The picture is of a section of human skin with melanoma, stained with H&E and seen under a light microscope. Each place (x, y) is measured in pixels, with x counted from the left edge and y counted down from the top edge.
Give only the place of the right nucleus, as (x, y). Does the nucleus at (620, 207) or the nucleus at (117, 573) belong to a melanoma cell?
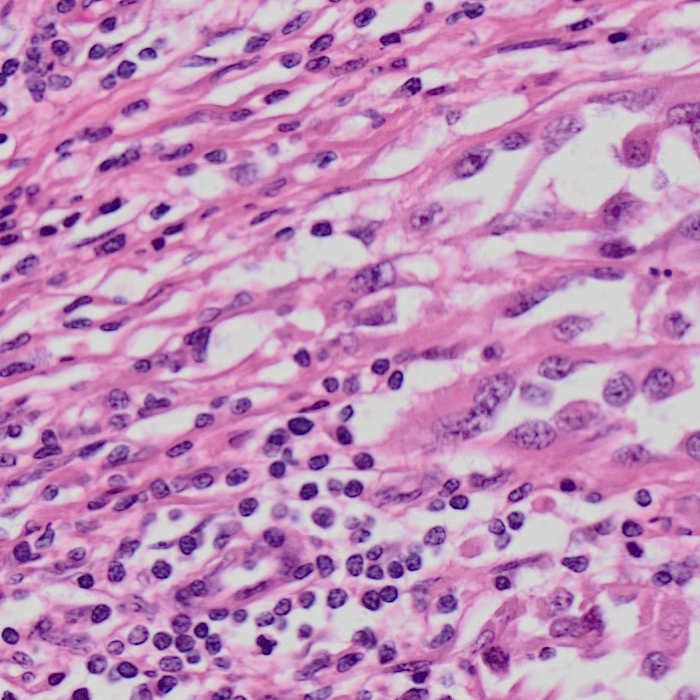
(620, 207)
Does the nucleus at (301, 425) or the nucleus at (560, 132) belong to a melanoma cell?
(560, 132)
